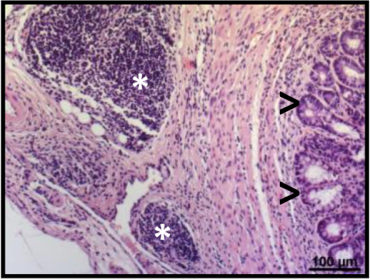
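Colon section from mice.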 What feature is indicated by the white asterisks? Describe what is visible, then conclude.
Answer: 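The asterisks sit on dense, sharply bounded clusters of small dark-purple nuclei. The clusters lie outside the crypt-bearing mucosa, among pink fibrous and muscular tissue. The answer: mononuclear cell aggregates in the subserosa.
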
